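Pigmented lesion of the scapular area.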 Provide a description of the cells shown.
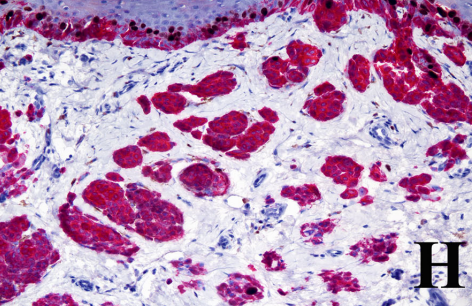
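Beneath a thin epidermis at the top, the pale blue-grey dermis holds many rounded nests and small clusters of cells whose cytoplasm is stained red. The nests vary in size, some large and lobulated, others only a few cells, and are separated by loose pale stroma with scattered small vessels and bluish stromal nuclei. Red-stained cells also line the lower epidermis.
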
